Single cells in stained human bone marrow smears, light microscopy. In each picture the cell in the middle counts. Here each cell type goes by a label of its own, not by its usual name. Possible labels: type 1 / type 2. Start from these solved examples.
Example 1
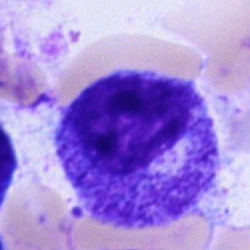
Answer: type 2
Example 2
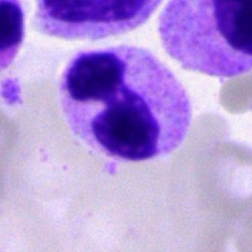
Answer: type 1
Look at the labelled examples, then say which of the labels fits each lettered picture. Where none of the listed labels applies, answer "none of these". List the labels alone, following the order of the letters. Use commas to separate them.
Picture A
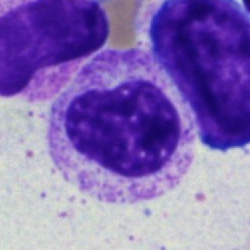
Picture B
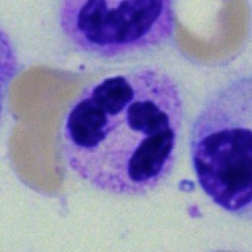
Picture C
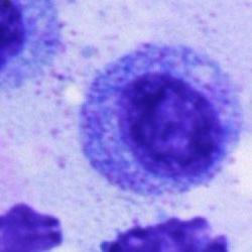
type 2, type 1, type 2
